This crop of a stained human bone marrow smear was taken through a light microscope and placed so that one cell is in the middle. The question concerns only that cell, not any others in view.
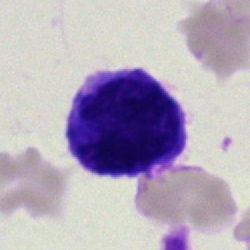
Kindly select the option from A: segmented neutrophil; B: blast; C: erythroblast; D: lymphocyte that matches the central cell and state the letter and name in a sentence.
The central cell in this crop is a blast, corresponding to option B, the correct option.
